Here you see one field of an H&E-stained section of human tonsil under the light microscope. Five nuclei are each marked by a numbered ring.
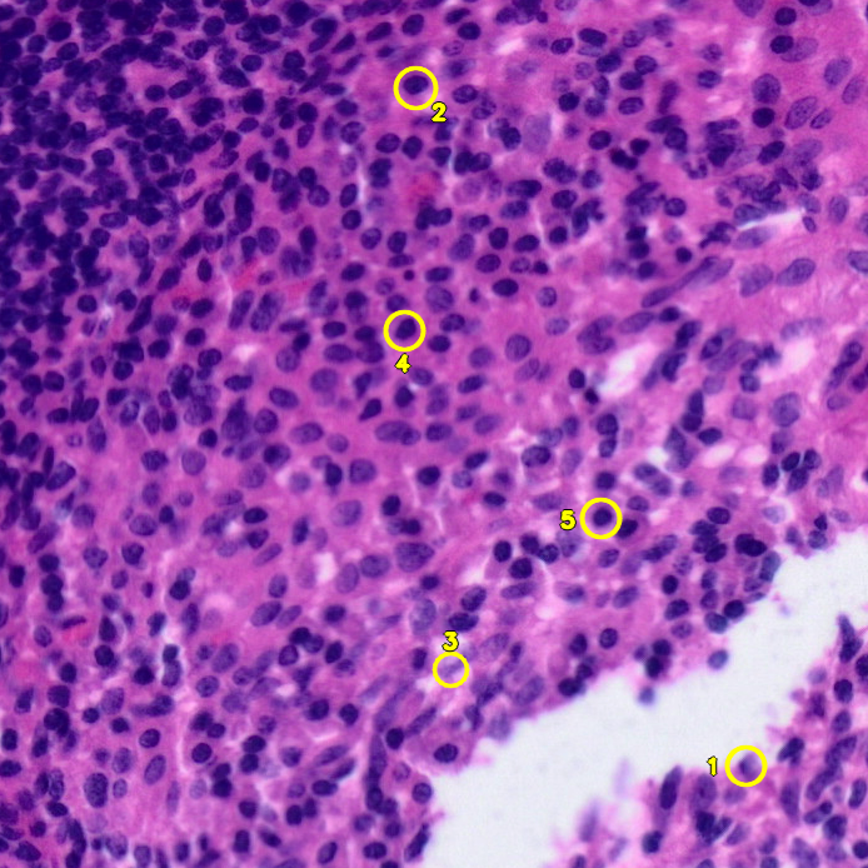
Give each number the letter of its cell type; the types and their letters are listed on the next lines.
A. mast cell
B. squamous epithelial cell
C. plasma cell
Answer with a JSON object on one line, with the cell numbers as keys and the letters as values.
{"1": "B", "2": "C", "3": "B", "4": "C", "5": "C"}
